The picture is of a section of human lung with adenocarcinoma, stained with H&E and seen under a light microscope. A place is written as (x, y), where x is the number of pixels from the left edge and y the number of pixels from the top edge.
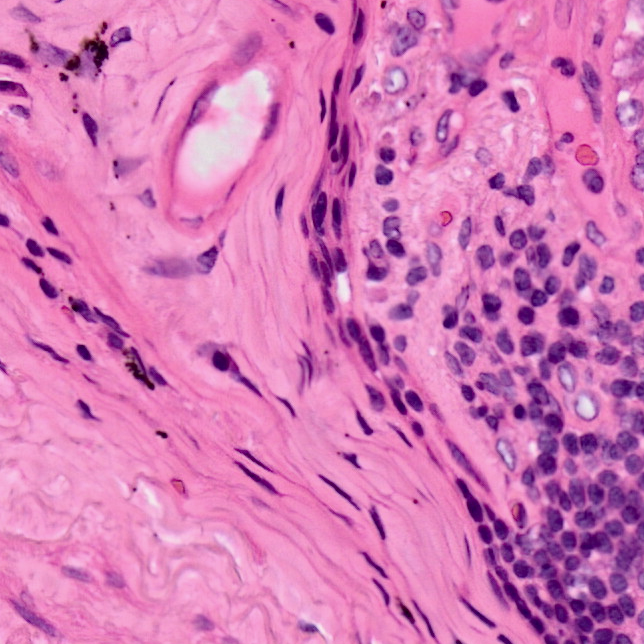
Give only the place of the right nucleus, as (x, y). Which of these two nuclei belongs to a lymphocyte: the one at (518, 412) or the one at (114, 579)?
(518, 412)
